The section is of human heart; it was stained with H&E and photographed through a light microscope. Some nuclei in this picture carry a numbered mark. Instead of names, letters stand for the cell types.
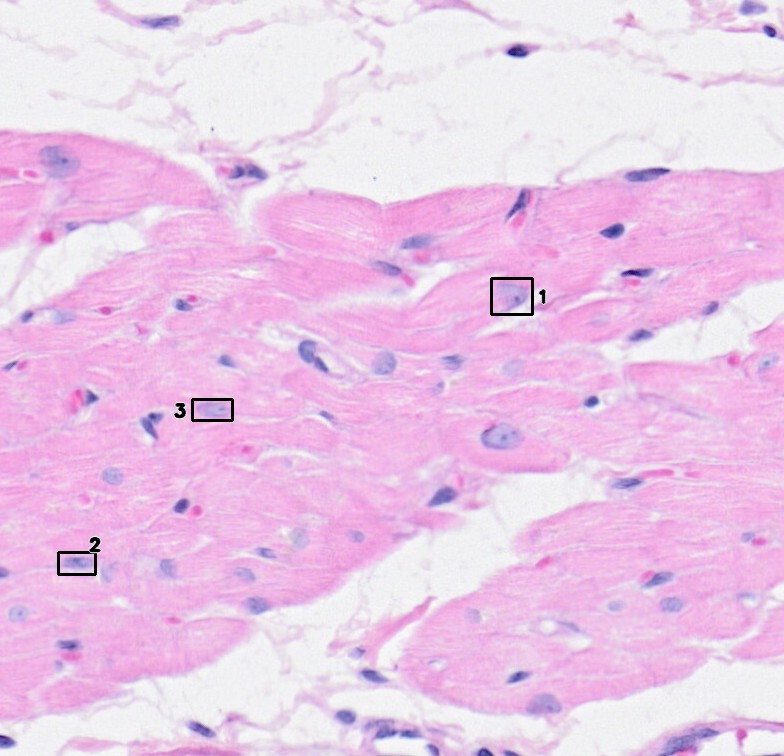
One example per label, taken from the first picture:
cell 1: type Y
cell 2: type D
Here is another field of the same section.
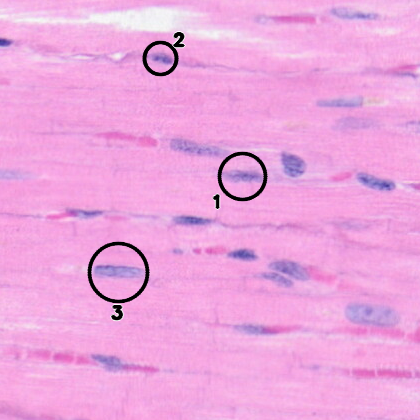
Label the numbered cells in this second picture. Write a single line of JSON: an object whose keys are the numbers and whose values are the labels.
{"1": "type D", "2": "type D", "3": "type Y"}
